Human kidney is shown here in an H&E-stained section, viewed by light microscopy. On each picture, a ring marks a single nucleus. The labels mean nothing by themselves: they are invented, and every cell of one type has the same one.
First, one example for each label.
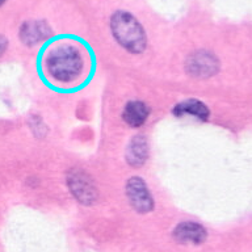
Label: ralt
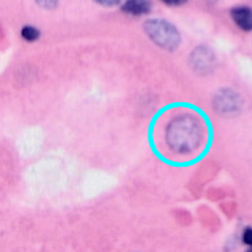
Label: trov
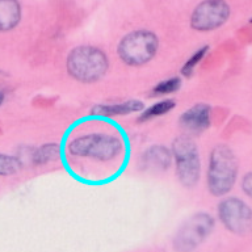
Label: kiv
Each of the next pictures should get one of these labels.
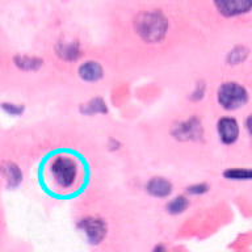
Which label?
ralt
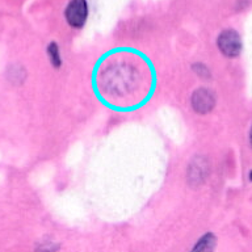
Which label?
trov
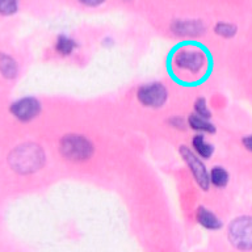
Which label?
ralt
